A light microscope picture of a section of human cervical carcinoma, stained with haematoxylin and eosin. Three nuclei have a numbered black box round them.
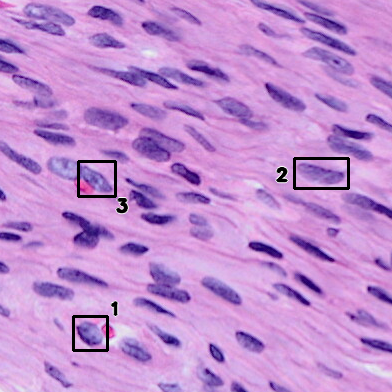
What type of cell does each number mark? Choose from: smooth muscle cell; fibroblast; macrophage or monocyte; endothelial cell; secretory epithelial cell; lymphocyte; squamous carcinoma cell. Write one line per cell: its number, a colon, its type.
1: endothelial cell
2: fibroblast
3: endothelial cell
